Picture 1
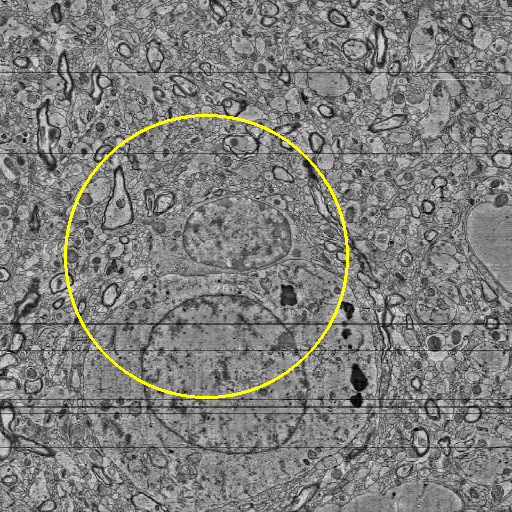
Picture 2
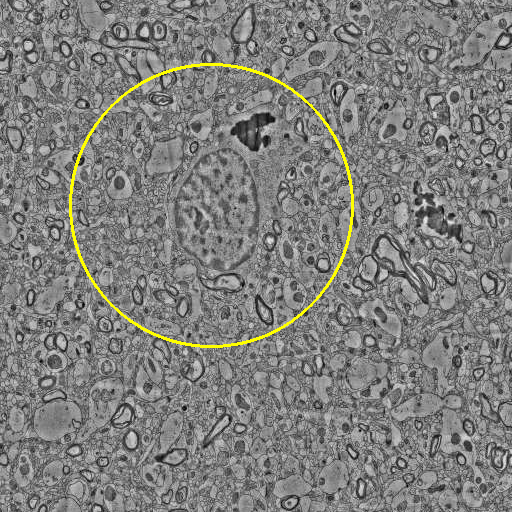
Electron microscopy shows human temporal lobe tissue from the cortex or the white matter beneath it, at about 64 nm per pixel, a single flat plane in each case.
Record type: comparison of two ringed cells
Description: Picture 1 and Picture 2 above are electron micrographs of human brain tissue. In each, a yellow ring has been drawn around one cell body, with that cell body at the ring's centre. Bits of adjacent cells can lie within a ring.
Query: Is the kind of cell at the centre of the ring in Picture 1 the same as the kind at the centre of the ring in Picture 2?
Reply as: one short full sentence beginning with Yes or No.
Yes, the two ringed cells are of the same kind.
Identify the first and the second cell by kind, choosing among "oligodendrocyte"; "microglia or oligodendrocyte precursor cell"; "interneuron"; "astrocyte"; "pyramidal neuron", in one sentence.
In each of the two pictures, the ringed cell is an oligodendrocyte.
